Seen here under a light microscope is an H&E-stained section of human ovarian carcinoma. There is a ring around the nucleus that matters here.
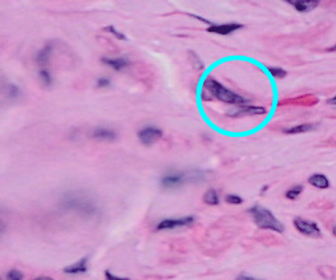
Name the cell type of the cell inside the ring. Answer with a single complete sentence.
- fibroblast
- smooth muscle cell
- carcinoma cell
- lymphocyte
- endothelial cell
The classification of the cell inside the ring is as an endothelial cell.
